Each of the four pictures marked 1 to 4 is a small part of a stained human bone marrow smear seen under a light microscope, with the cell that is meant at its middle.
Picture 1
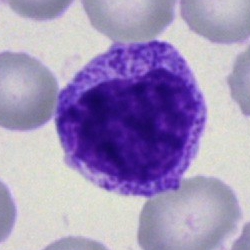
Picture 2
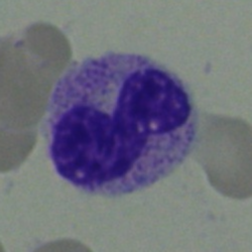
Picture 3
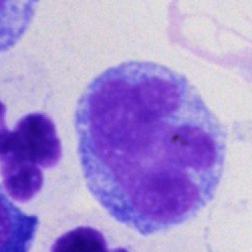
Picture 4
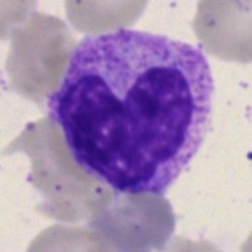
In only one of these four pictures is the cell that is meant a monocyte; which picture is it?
3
